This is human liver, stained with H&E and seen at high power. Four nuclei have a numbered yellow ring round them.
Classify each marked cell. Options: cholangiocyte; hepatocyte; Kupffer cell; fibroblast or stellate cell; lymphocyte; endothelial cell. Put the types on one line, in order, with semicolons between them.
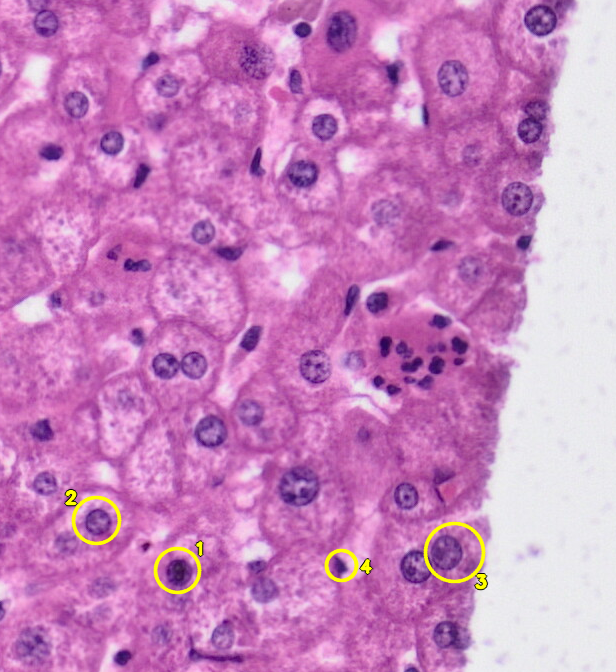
hepatocyte; hepatocyte; hepatocyte; endothelial cell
